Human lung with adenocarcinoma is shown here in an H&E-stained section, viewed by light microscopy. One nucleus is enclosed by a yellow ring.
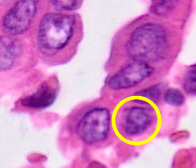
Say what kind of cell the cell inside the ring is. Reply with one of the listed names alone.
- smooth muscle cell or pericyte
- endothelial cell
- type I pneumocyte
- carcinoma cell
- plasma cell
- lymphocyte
carcinoma cell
